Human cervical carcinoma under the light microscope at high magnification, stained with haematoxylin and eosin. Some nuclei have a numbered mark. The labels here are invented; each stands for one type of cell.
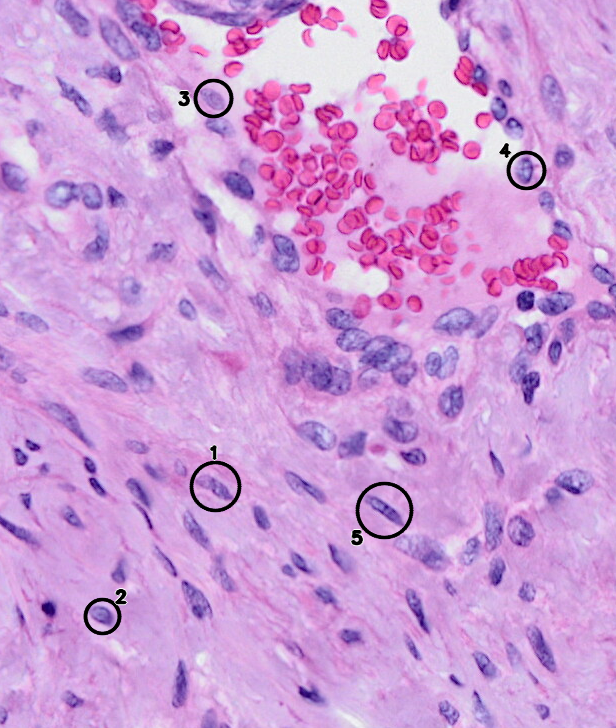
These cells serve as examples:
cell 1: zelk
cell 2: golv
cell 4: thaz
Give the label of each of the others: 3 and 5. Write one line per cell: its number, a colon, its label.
3: thaz
5: golv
